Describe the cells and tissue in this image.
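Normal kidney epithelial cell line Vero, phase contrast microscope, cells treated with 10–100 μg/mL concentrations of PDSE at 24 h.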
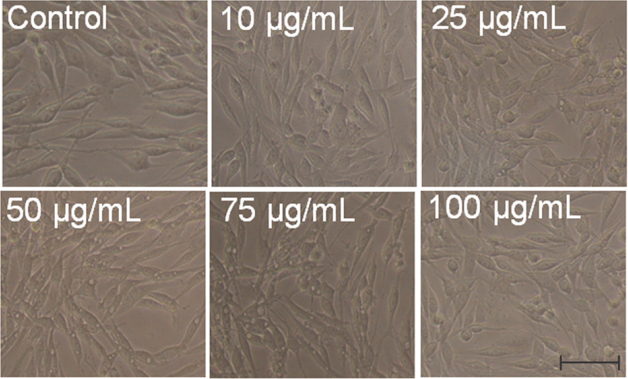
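Most cells are flattened and elongated, spindle-shaped or polygonal, with thin tapering ends that reach toward their neighbours. The cells lie side by side in a loose network, with gaps of bare background between them. Here and there a cell is small, rounded and bright-rimmed, standing out from the flat ones around it. Across the six fields the cells look much alike in shape and in how densely they cover the surface.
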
